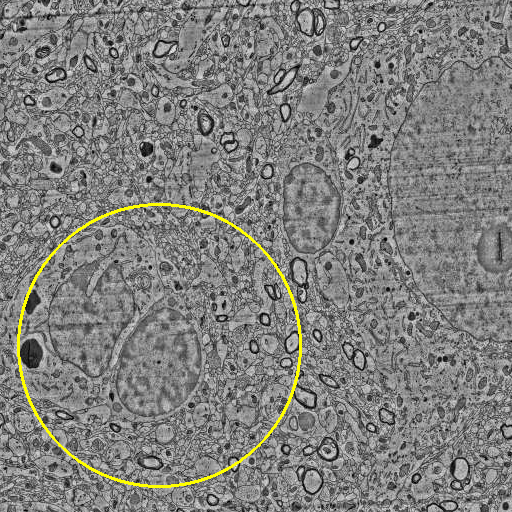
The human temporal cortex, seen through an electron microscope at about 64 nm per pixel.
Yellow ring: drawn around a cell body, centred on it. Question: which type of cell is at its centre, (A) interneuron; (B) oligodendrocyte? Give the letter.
B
